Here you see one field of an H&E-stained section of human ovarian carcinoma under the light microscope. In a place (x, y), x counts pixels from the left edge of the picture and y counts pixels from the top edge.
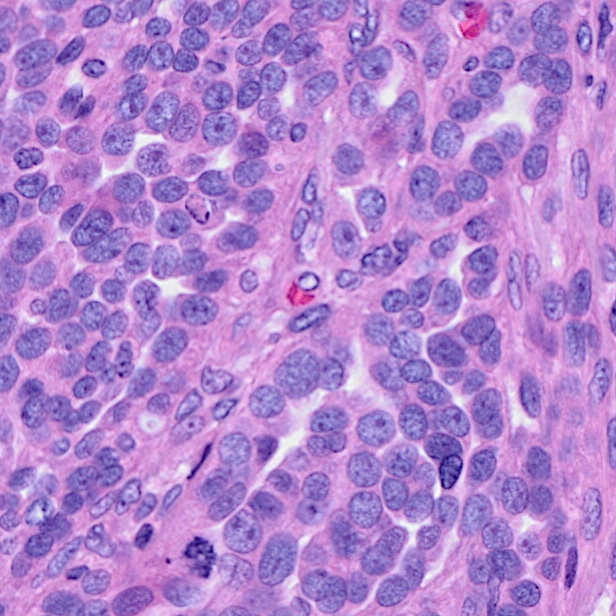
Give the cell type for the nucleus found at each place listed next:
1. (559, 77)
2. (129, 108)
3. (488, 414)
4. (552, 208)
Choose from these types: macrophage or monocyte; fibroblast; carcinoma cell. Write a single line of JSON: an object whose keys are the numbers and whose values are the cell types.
{"1": "carcinoma cell", "2": "carcinoma cell", "3": "carcinoma cell", "4": "fibroblast"}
